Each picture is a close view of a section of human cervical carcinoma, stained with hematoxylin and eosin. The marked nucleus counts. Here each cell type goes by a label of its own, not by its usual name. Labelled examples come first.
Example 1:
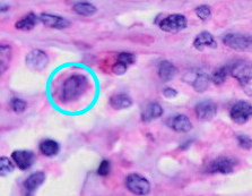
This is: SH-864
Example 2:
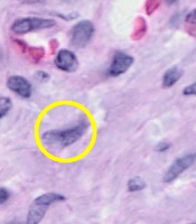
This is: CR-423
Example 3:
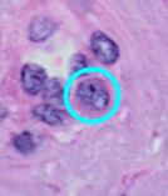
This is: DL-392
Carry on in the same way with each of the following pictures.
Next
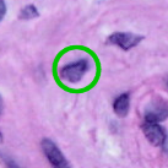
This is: CR-423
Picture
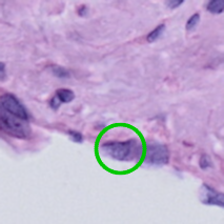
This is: DL-392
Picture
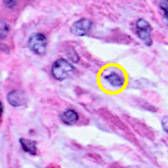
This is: CR-423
